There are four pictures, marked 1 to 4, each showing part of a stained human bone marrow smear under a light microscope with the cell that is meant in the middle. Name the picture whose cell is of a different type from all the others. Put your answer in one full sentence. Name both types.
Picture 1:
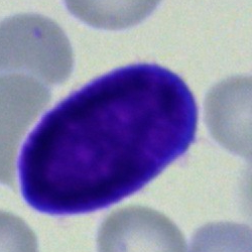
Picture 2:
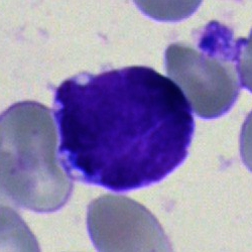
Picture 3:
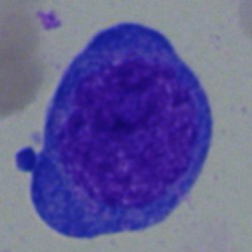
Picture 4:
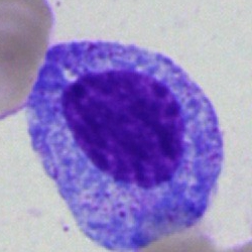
Unlike the rest, which show blasts, picture 4 shows a promyelocyte.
